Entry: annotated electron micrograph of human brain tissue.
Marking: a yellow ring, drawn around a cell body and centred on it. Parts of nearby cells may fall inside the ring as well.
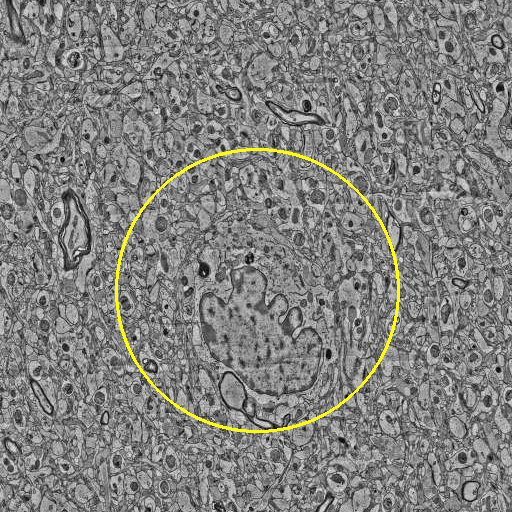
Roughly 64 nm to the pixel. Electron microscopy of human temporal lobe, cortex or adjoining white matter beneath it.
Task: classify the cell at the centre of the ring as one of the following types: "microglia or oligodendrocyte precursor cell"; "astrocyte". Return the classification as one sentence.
The marked cell is classified as a microglial cell or oligodendrocyte precursor cell.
